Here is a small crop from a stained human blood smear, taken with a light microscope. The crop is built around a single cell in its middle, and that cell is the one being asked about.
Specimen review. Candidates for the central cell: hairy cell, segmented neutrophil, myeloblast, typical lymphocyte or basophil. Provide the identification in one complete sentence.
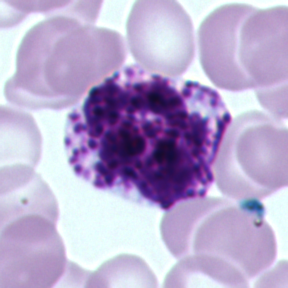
The target cell in the middle of the crop is a basophil.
